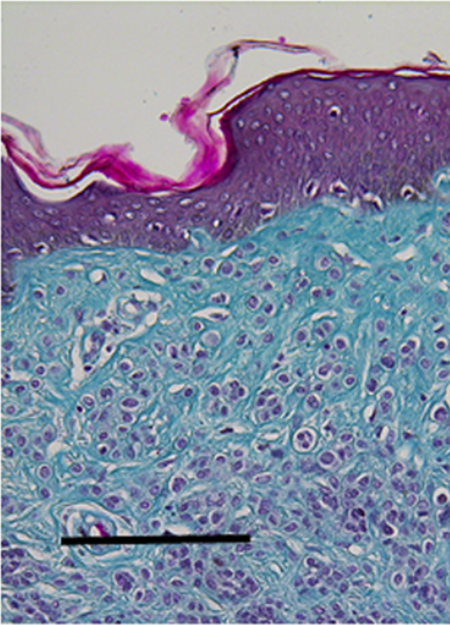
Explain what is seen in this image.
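Skin in section: a purple stratified epidermis capped by a thin red-magenta surface layer lies over a dermis that is stained blue-green throughout, with a fibrous texture. Many round to oval purple nuclei are scattered densely through the upper dermis.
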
